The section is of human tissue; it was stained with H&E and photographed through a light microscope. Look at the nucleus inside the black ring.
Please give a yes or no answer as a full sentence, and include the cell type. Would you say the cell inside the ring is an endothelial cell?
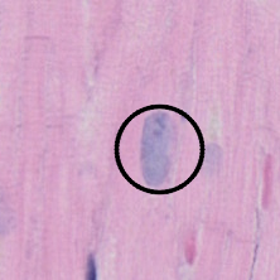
No, the cell inside the ring does not represent an endothelial cell; it represents a cardiomyocyte.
